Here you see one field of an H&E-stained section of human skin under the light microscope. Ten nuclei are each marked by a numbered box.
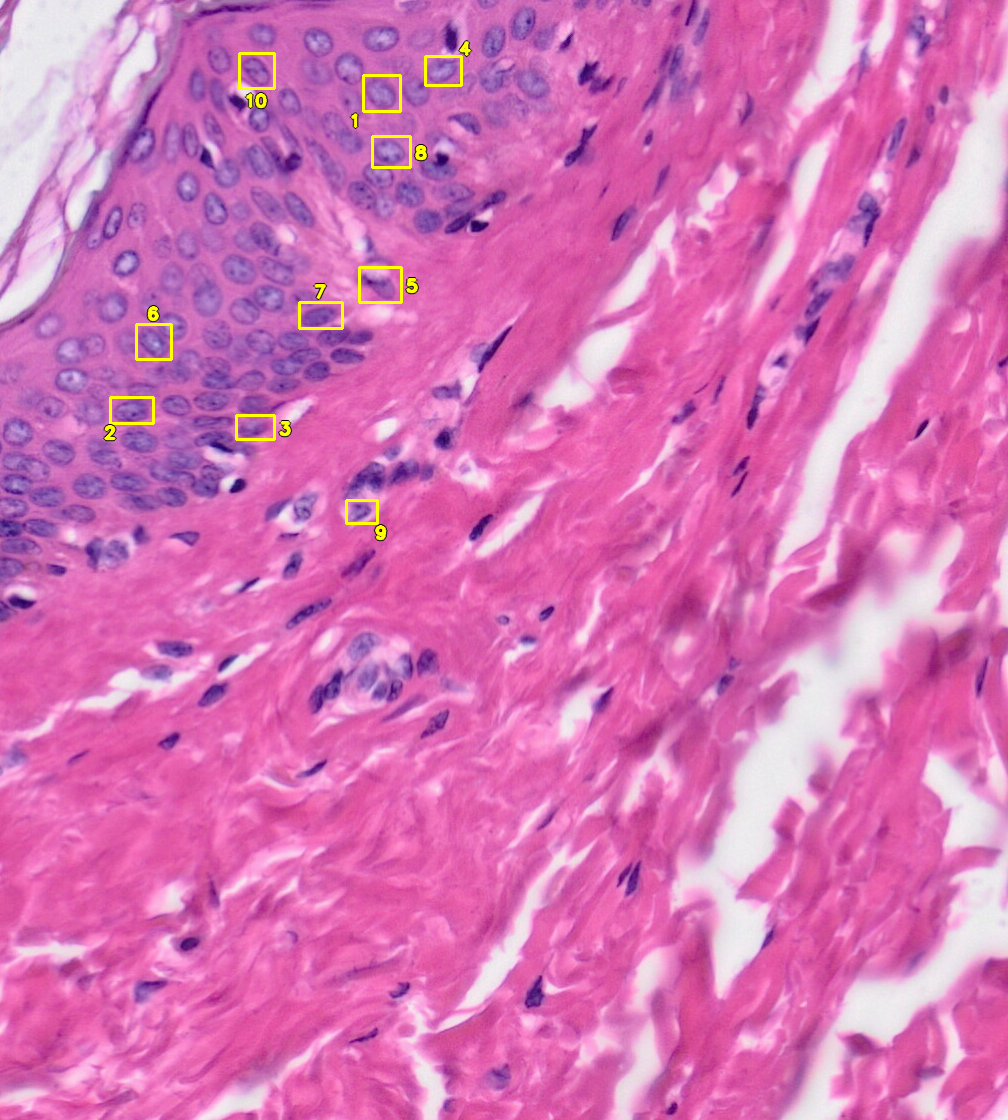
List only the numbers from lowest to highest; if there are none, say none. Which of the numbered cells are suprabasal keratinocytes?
1, 2, 4, 6, 8, 10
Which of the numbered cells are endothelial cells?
9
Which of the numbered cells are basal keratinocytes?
3, 7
